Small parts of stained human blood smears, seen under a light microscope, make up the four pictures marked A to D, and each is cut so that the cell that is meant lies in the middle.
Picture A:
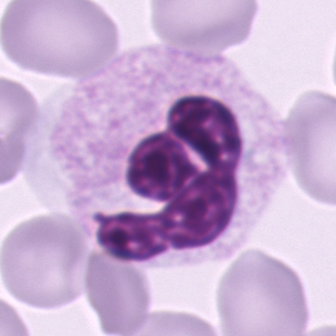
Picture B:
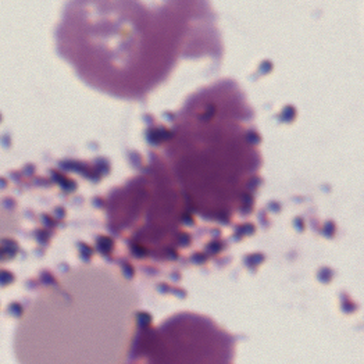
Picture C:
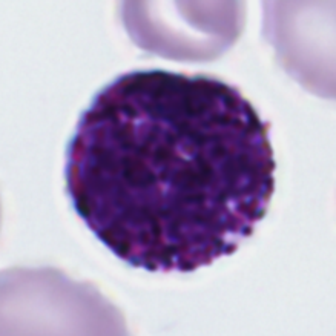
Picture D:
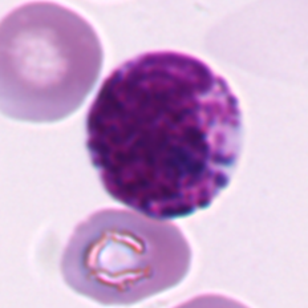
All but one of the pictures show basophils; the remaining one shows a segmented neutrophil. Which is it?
A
